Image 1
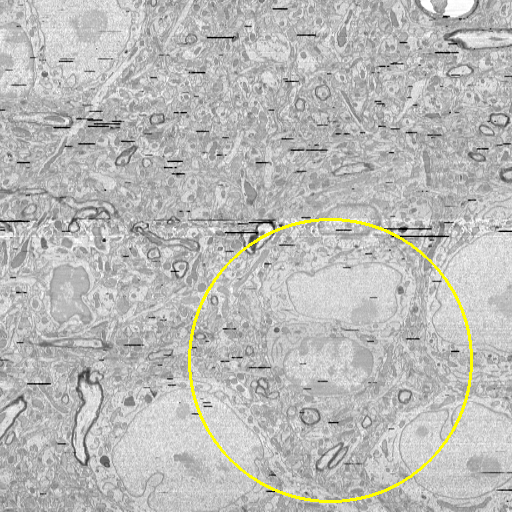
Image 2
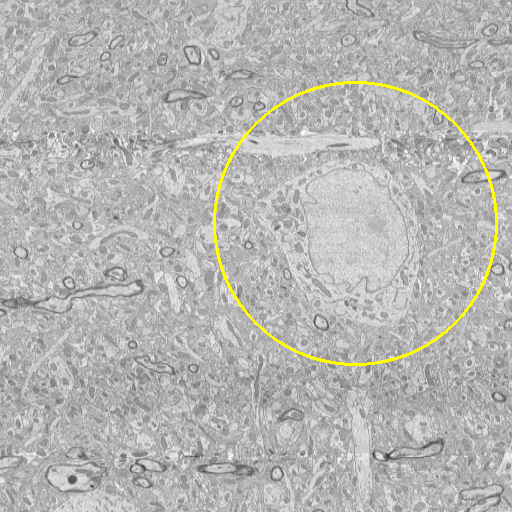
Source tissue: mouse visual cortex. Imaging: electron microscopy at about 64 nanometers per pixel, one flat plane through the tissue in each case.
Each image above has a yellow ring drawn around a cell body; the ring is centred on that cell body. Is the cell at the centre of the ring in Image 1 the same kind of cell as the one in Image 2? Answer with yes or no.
no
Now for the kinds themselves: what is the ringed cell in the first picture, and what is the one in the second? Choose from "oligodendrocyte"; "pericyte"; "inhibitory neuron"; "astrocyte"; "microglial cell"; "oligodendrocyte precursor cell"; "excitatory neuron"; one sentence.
Here the first cell is an oligodendrocyte and the second cell is an inhibitory neuron.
